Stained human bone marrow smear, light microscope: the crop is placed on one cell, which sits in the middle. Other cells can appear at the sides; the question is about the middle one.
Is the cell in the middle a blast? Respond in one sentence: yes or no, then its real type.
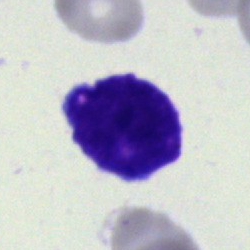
Yes, as for the central cell, it is a blast.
